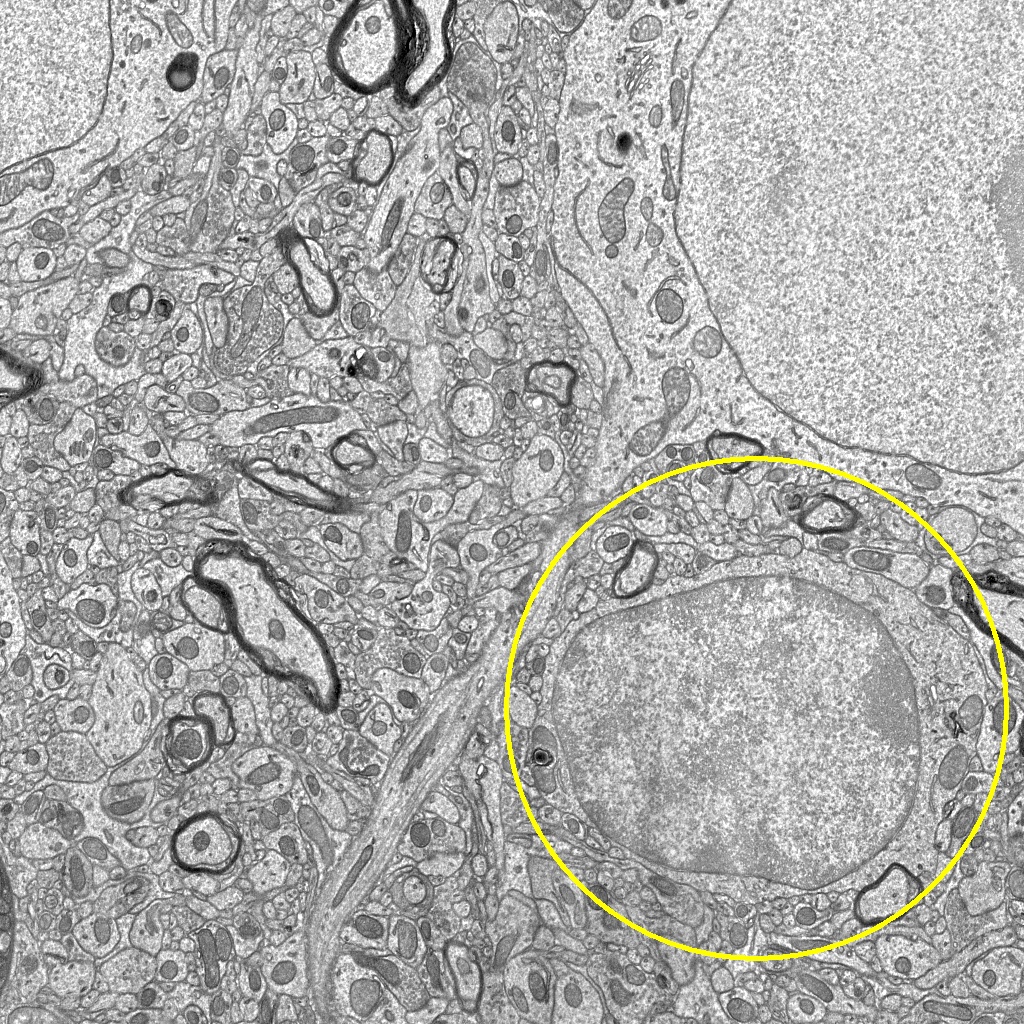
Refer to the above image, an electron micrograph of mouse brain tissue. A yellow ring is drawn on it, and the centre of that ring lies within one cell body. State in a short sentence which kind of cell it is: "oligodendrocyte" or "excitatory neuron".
The centre of the ring falls on an oligodendrocyte.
